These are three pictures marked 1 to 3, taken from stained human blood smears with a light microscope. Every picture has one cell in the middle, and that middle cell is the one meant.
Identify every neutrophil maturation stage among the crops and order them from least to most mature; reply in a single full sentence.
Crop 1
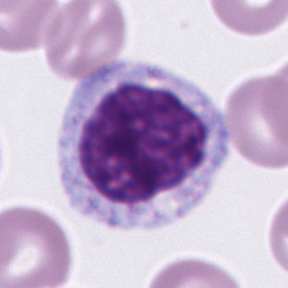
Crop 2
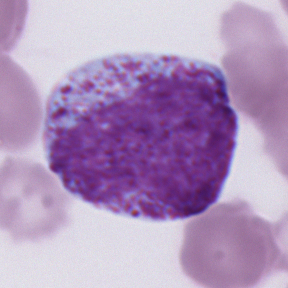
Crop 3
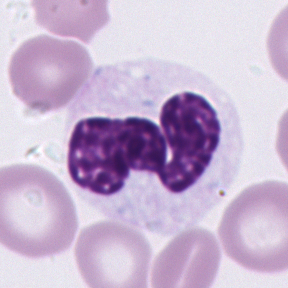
In ascending order of maturity, the sequence is crop 2 (a myelocyte), crop 1 (a metamyelocyte) and crop 3 (a segmented neutrophil).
